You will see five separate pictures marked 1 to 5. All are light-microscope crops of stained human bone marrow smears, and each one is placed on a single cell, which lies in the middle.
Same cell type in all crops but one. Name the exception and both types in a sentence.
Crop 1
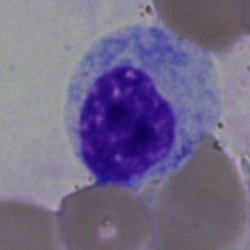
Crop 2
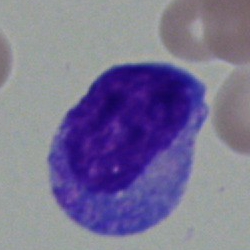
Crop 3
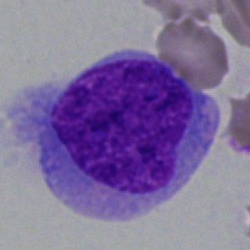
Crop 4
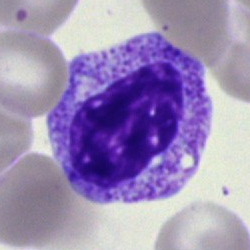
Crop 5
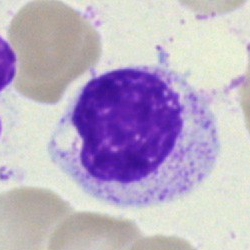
Crop 3 is the one to flag: it is a blast, and the rest show myelocytes.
